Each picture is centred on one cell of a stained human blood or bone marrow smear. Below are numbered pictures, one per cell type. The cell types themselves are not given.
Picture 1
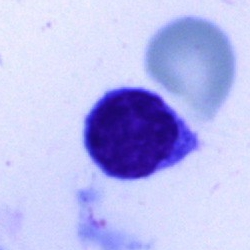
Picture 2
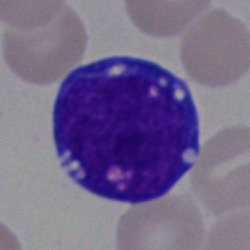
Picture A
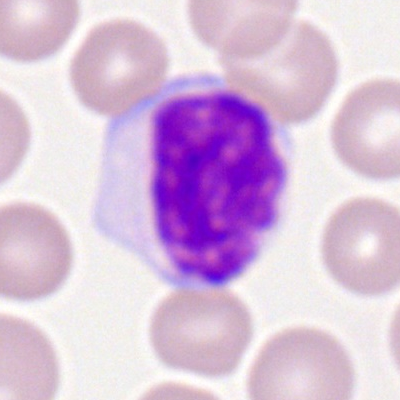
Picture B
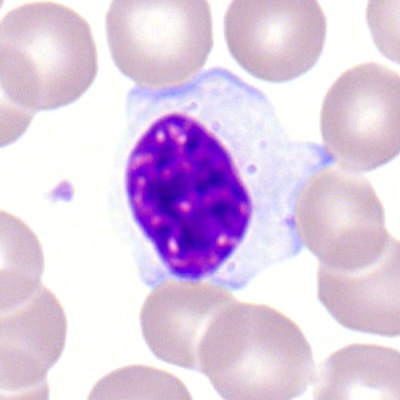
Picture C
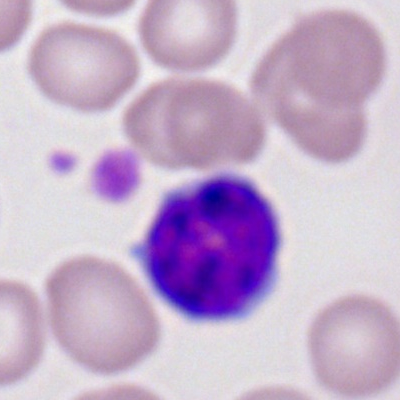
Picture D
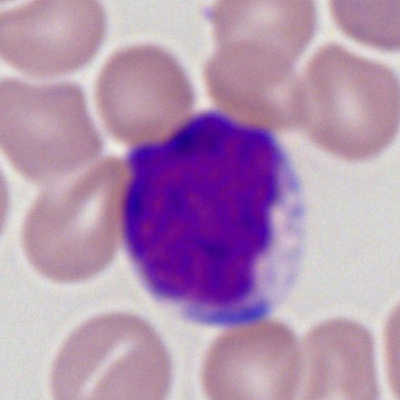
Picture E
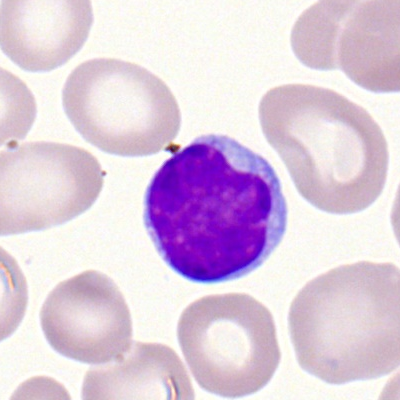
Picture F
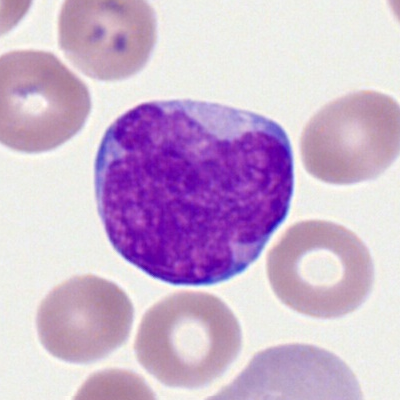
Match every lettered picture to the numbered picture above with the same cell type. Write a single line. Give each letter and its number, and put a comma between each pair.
A 1, B 1, C 1, D 2, E 1, F 2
